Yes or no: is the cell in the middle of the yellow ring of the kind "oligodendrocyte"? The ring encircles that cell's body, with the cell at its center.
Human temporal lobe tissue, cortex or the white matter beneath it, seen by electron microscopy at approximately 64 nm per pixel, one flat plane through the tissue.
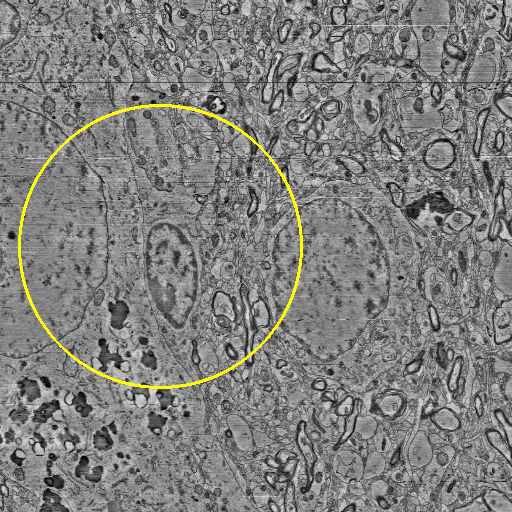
no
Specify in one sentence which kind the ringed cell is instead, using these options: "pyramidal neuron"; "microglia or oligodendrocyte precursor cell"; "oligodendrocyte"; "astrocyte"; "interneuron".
Instead, the cell at the centre of the yellow ring is a microglial cell or oligodendrocyte precursor cell.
